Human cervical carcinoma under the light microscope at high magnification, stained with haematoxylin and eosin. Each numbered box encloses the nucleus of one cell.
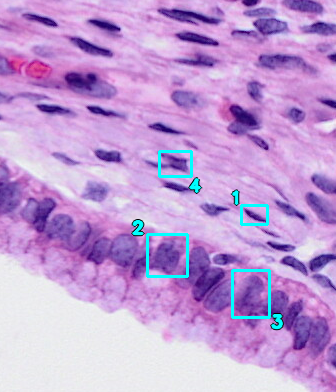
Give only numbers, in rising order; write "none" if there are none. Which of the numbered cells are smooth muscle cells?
none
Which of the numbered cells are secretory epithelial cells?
2, 3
